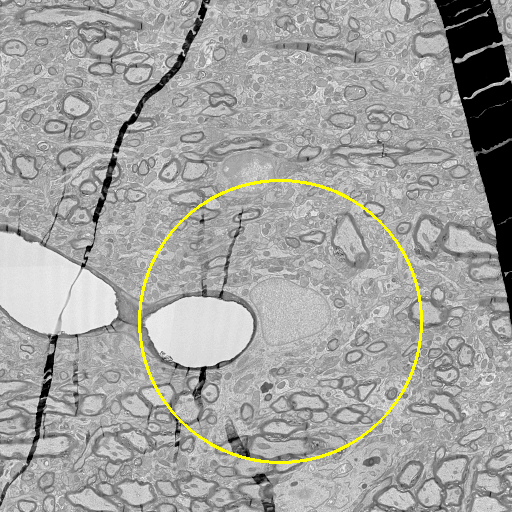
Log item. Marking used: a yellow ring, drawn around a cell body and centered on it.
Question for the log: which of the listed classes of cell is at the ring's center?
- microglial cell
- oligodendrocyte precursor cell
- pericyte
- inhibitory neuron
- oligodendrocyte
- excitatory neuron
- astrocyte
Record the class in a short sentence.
At the center of the ring lies an astrocyte.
